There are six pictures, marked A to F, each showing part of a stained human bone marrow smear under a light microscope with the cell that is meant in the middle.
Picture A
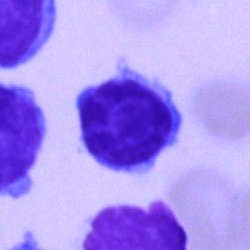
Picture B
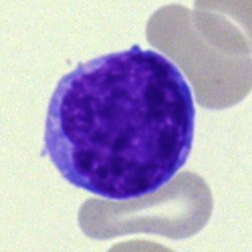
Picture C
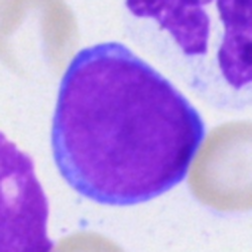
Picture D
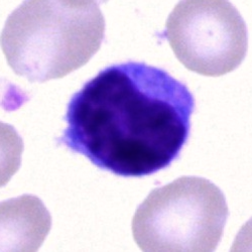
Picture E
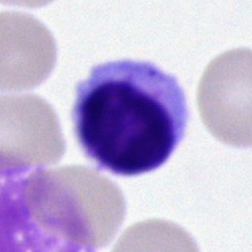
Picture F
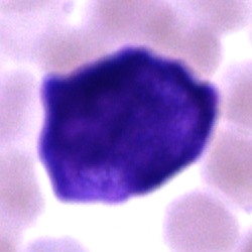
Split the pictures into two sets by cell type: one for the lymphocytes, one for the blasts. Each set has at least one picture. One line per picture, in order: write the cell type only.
lymphocyte
blast
blast
lymphocyte
lymphocyte
blast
